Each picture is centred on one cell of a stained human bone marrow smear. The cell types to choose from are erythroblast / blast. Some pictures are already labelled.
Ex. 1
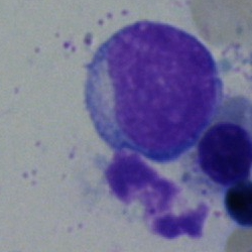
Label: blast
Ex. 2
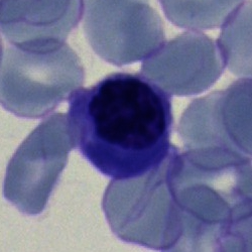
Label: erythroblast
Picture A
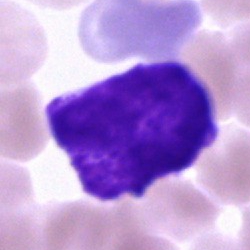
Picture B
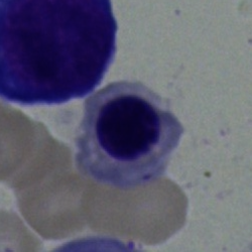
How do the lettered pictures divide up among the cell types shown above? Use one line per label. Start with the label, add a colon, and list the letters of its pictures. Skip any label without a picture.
erythroblast: B
blast: A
